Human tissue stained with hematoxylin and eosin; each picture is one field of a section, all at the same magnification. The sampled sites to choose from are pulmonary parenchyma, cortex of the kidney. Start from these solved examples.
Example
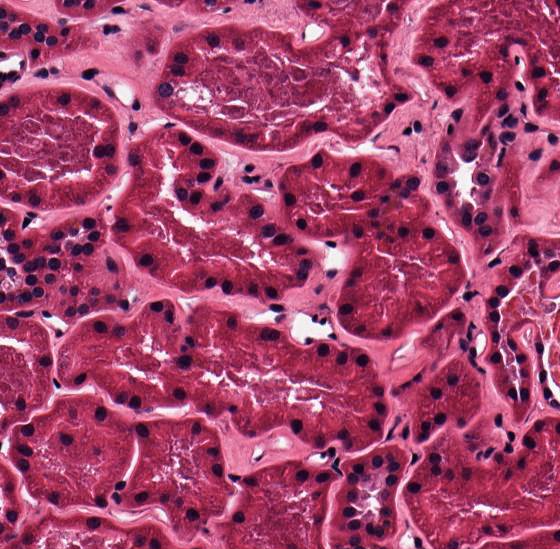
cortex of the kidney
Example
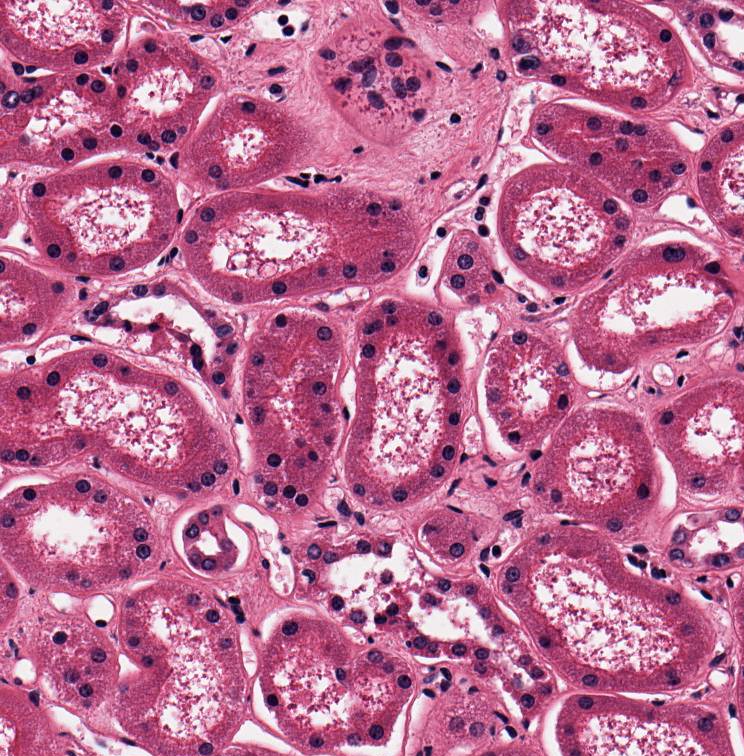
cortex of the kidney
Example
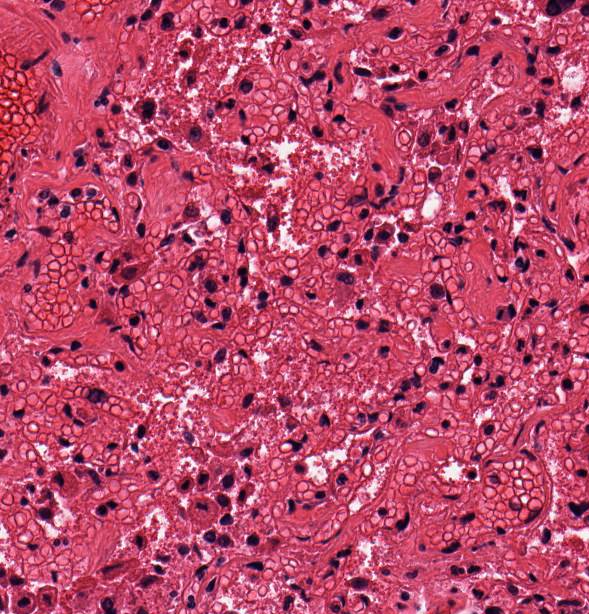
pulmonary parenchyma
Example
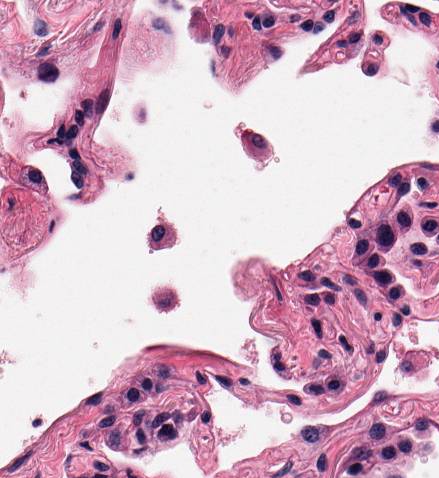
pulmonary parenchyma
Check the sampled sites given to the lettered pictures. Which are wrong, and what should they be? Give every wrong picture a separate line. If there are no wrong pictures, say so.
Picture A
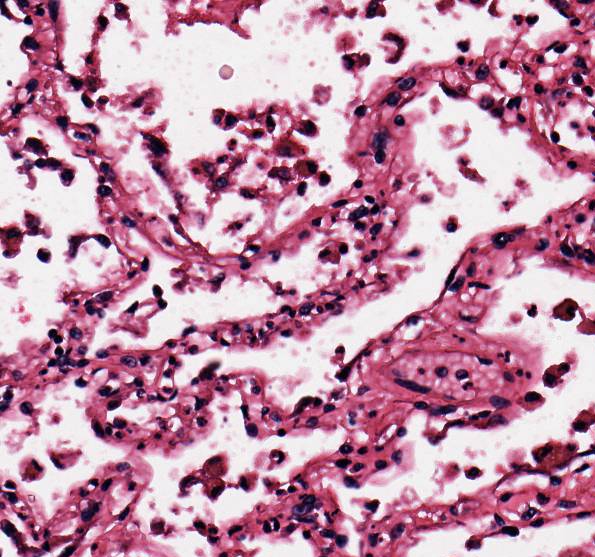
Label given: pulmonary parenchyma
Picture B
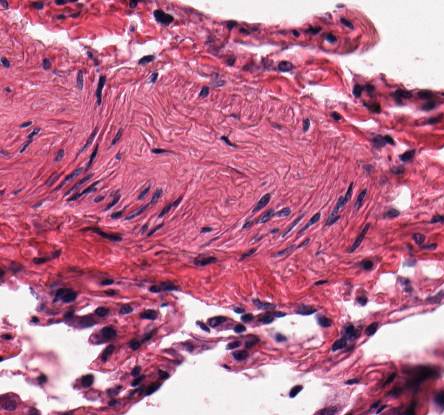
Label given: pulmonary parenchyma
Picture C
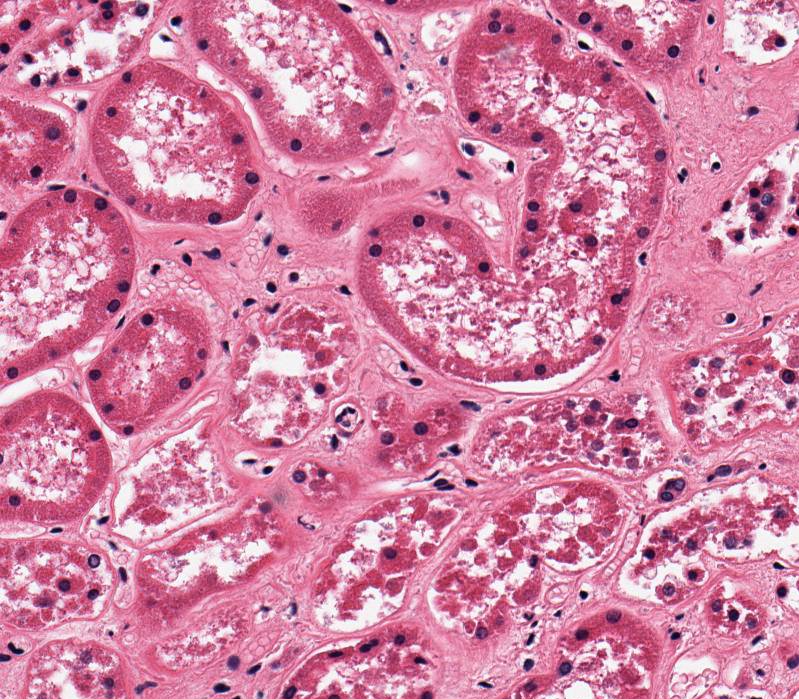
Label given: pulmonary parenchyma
Wrong: C (pulmonary parenchyma); correct: cortex of the kidney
